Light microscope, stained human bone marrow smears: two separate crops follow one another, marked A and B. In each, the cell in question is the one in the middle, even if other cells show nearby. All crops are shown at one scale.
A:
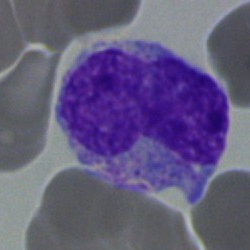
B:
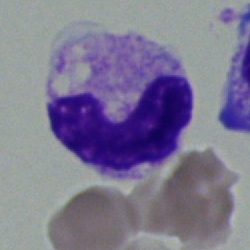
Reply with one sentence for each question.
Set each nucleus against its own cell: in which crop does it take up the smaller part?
The nucleus fills less of the cell in crop B than in crop A.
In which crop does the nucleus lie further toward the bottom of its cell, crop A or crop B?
It is the nucleus in crop B that lies further toward the bottom of its cell.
